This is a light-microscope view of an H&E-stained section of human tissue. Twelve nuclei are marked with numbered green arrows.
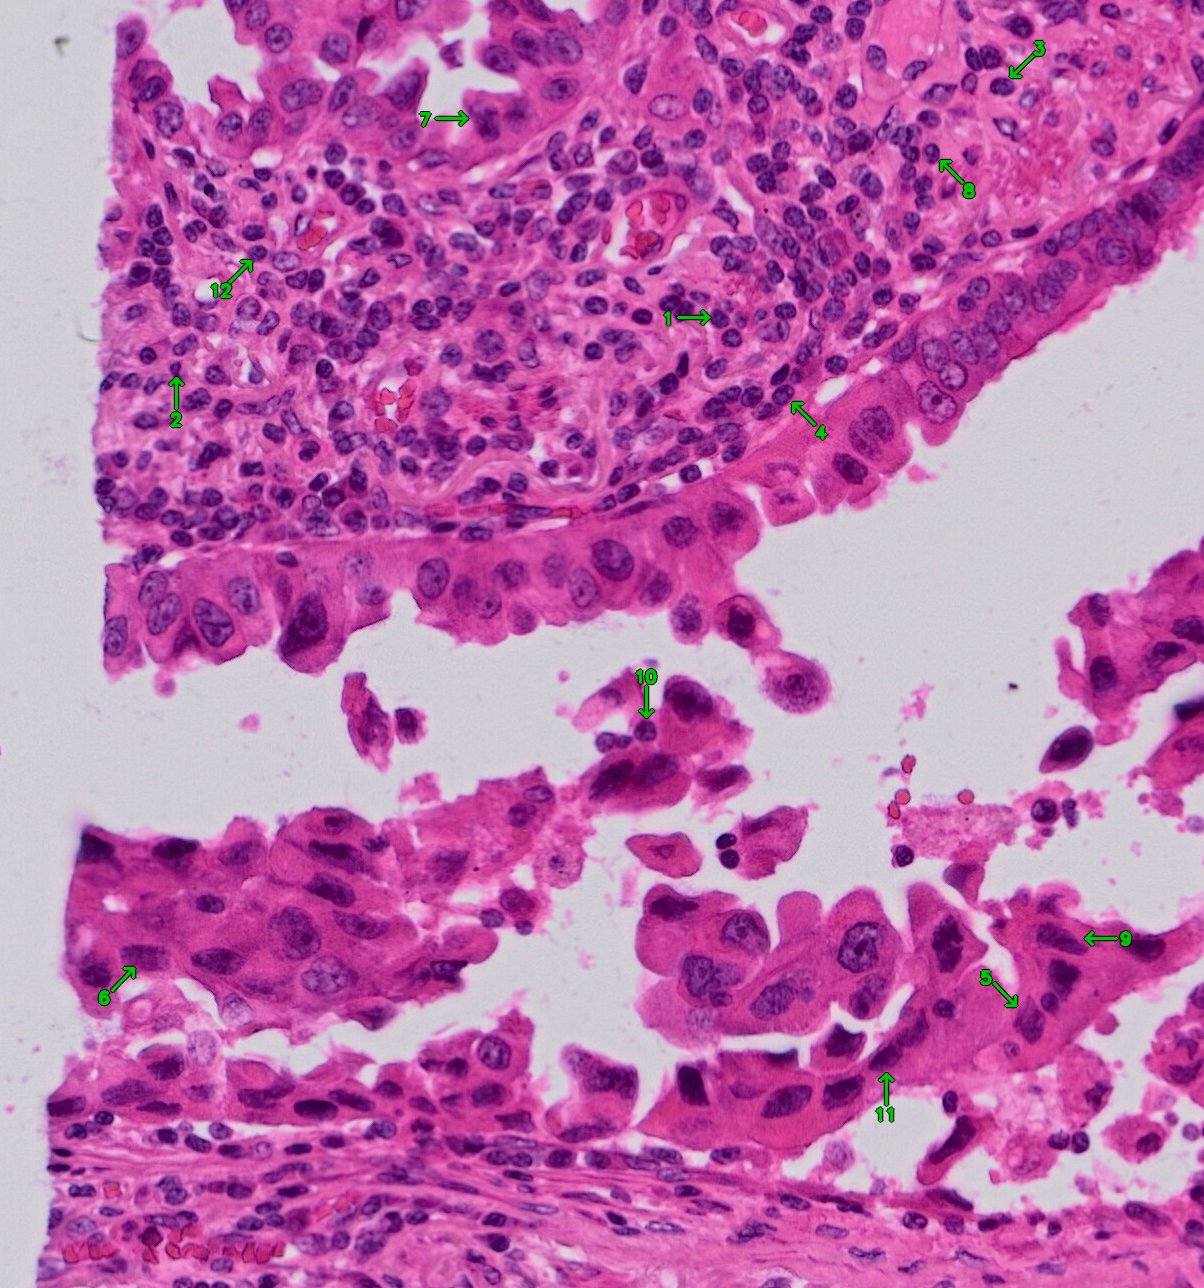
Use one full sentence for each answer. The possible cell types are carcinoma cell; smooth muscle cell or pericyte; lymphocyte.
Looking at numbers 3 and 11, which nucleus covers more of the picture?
Number 11 is larger; its area is about 2.5 times that of number 3.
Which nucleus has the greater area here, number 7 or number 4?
Number 7 is larger; its area is about 3 times that of number 4.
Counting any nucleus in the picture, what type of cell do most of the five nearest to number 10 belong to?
The majority of the five nuclei closest to number 10 belong to carcinoma cells.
